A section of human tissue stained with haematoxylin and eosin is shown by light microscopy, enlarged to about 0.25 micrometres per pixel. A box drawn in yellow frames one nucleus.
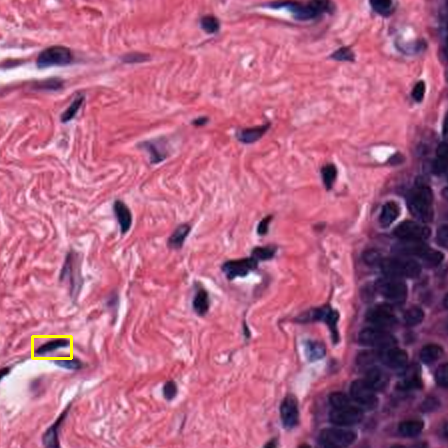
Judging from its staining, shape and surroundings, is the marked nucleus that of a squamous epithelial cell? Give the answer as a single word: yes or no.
no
